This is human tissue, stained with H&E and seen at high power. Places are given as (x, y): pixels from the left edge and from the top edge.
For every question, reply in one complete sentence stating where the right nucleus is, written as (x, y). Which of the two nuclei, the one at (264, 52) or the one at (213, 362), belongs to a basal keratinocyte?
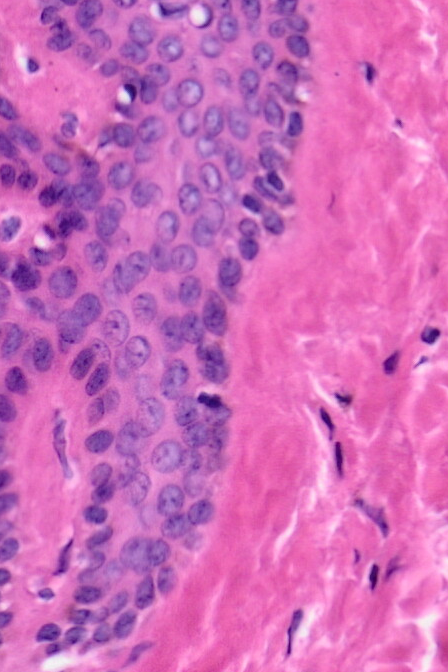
Of the two, the nucleus at (213, 362) is the one contained in a basal keratinocyte.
